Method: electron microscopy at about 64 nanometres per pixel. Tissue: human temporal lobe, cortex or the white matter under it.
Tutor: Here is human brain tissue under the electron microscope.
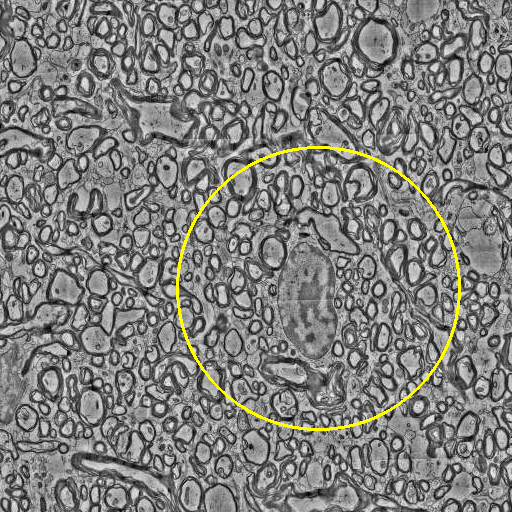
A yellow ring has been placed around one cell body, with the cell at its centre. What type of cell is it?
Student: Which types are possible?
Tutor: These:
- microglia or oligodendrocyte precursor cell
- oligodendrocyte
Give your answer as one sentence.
What the ring picks out here is a microglial cell or oligodendrocyte precursor cell.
